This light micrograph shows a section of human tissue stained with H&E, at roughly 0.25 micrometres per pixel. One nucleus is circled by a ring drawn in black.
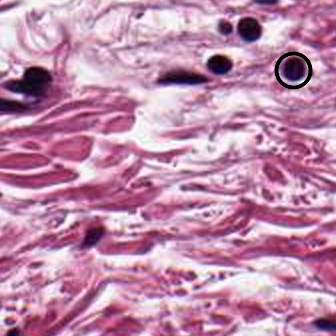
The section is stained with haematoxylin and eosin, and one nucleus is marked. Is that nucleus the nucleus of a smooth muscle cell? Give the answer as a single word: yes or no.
no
